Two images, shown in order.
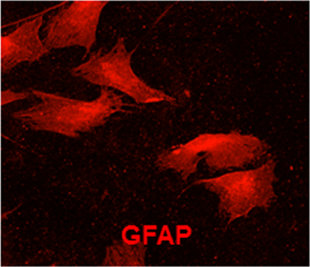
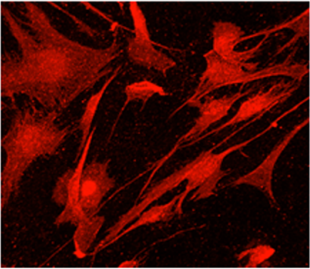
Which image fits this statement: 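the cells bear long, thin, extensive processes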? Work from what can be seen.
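Second image: many elongated cells with long thin red processes spanning the field. First image: broad flat cells with sheet-like cytoplasm and only short extensions. That points to this answer: the second image.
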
